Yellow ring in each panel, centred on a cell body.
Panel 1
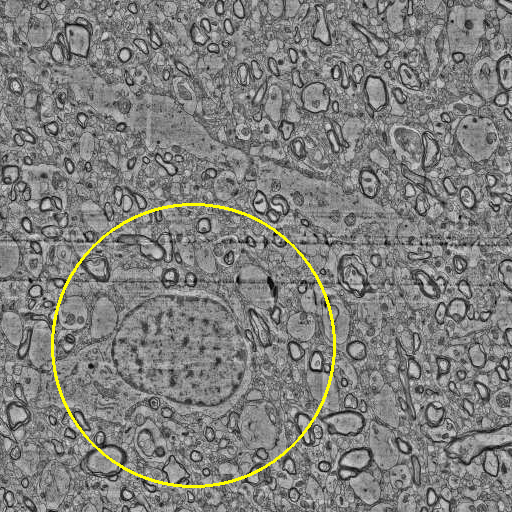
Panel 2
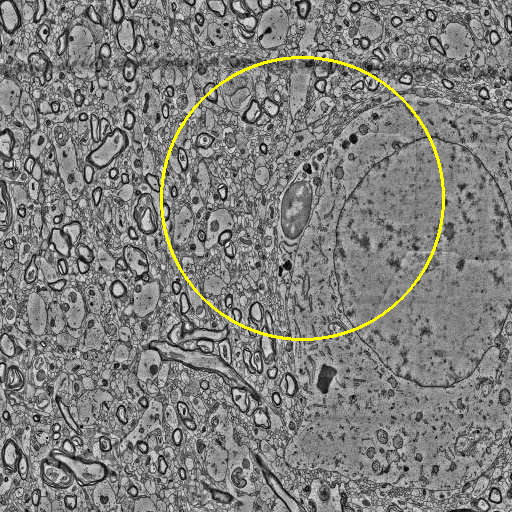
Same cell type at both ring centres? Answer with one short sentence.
Yes, both cells are of the same type.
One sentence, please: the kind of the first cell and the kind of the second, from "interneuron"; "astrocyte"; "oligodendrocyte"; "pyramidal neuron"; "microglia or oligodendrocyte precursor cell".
Both cells are the same kind, each one being a microglial cell or oligodendrocyte precursor cell.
